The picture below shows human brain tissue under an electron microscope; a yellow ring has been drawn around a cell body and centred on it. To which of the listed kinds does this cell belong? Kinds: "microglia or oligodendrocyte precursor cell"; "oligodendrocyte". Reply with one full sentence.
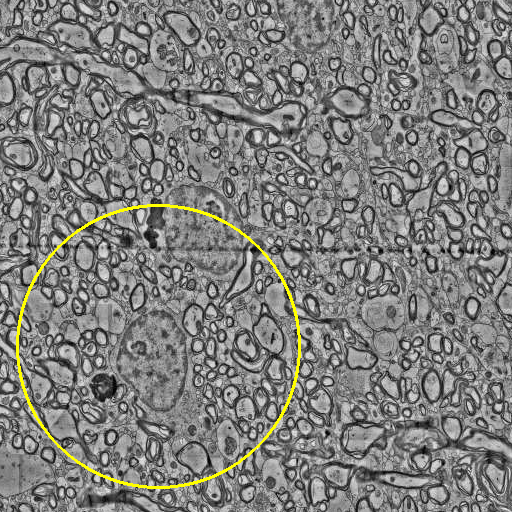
It is an oligodendrocyte that the yellow ring in the picture is centred on.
